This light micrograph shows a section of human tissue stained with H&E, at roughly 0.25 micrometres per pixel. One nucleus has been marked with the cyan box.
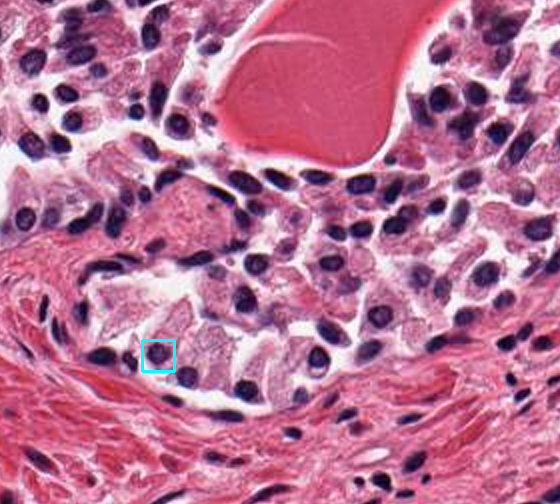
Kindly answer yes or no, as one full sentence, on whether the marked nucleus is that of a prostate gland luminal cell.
Yes, the marked nucleus is one that belongs to a prostate gland luminal cell.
